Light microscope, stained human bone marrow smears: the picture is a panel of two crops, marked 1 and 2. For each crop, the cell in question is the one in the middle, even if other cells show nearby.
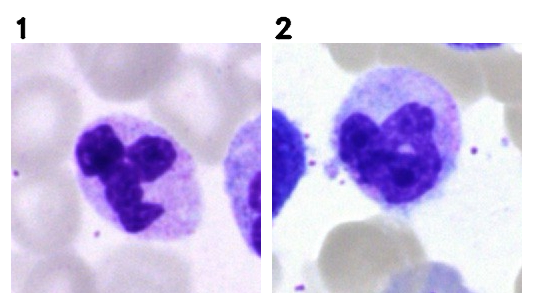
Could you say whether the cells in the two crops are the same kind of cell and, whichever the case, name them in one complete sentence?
Yes, the cells found in the middle of both crops are neutrophils.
